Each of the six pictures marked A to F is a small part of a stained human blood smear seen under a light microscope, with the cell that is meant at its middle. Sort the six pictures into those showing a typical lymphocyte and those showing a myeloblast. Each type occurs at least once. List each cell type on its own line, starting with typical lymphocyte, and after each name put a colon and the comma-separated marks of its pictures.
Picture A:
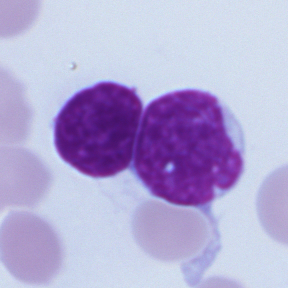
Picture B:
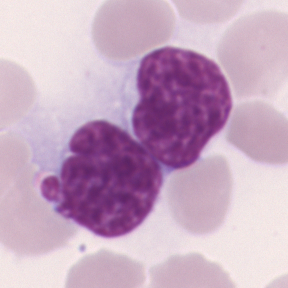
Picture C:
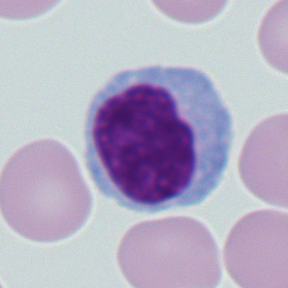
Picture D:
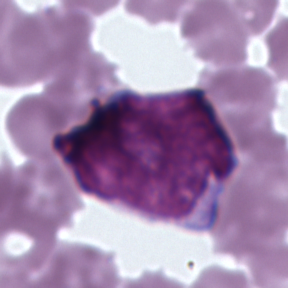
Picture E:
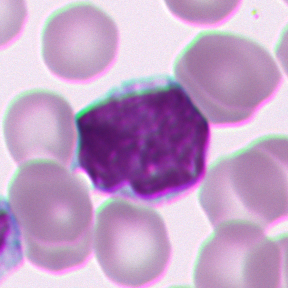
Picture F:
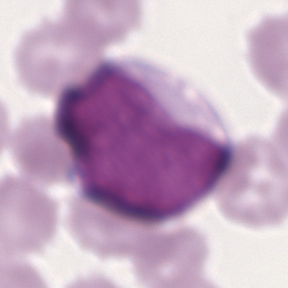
typical lymphocyte: C, E
myeloblast: A, B, D, F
